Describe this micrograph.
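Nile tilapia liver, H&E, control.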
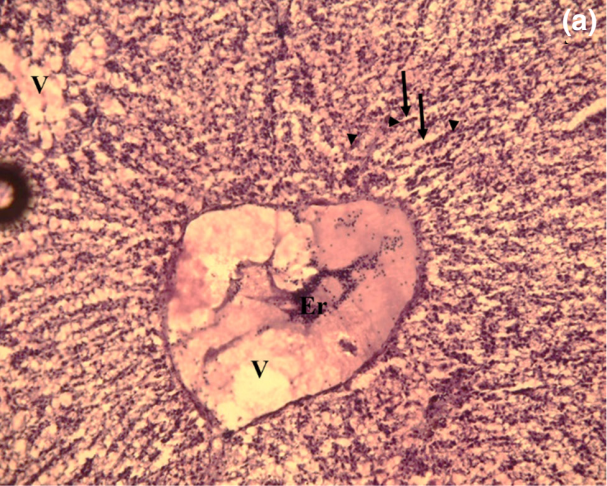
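A large irregular vessel with pale contents and a cluster of red-purple blood cells sits in the middle, surrounded by a thin wall. From it, cords of closely packed cells with small dark purple nuclei radiate outward, separated by narrow pale channels.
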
